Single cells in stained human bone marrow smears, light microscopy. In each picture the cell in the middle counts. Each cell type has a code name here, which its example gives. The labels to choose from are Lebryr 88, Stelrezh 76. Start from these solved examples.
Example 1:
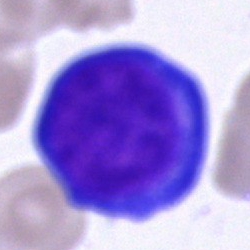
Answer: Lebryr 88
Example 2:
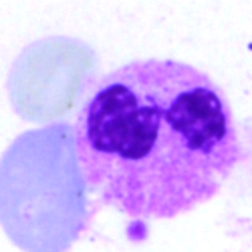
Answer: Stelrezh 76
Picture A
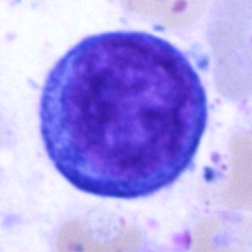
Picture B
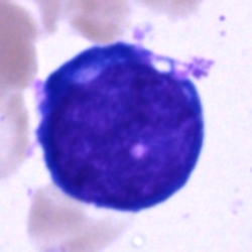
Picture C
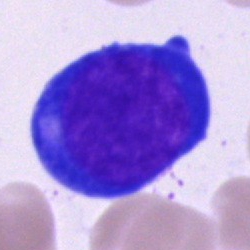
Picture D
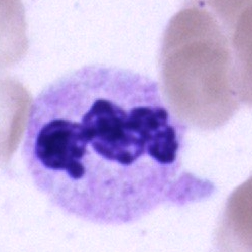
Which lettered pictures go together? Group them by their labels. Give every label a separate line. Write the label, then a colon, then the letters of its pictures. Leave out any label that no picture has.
Lebryr 88: A, B, C
Stelrezh 76: D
